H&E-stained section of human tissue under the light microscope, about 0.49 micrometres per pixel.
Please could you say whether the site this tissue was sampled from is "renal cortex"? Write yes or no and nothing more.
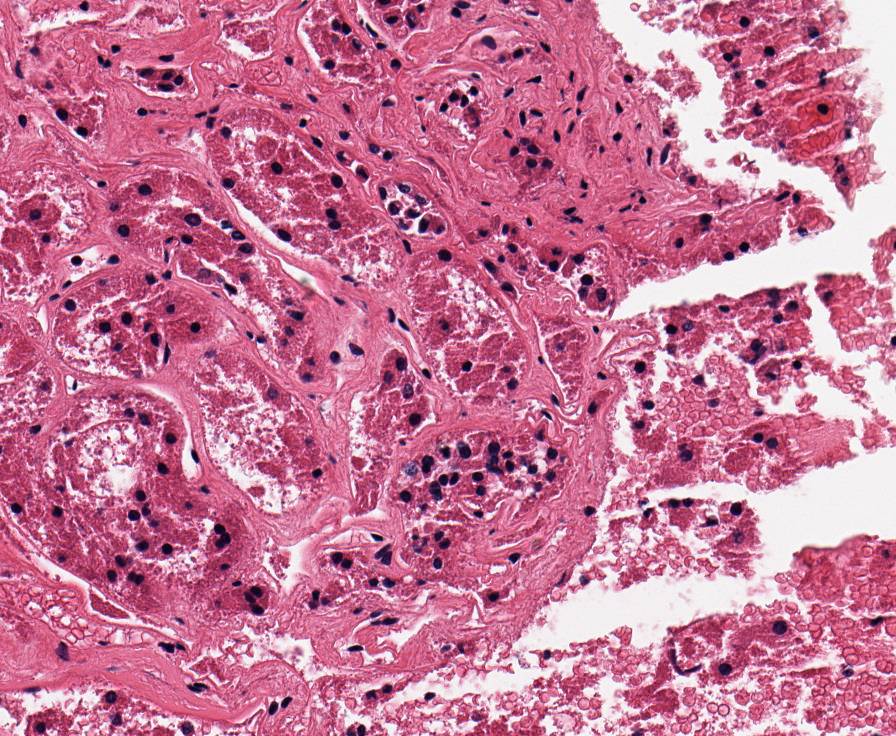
yes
